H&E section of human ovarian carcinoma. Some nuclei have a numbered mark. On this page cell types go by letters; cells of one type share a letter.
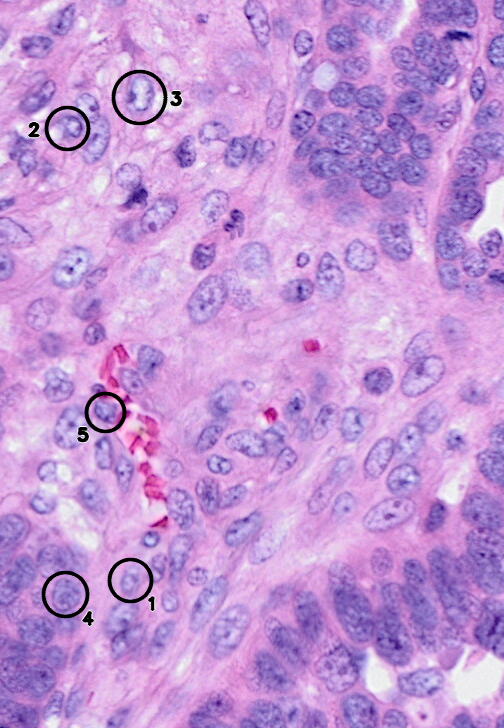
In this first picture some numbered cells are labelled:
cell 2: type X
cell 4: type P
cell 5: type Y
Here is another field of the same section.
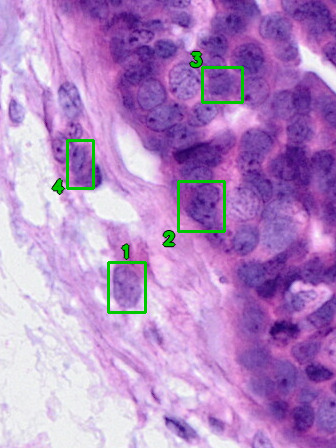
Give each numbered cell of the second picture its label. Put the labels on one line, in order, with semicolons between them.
type X; type P; type P; type Y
